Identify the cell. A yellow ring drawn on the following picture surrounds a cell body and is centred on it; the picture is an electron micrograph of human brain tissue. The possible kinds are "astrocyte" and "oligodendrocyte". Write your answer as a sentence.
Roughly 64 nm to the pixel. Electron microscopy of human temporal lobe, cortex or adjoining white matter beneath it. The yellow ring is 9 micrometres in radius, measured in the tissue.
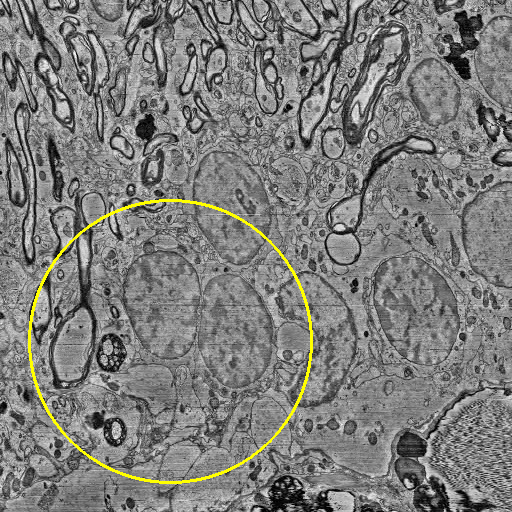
The cell identified by the ring is an oligodendrocyte.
